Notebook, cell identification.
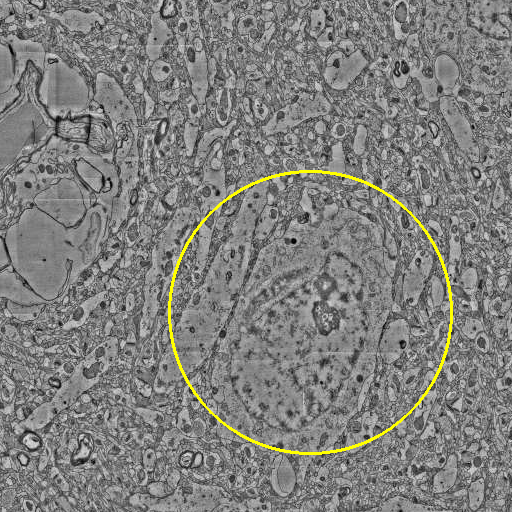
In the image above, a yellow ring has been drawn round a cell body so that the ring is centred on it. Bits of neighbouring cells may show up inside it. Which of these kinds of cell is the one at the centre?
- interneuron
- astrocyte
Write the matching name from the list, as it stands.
interneuron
